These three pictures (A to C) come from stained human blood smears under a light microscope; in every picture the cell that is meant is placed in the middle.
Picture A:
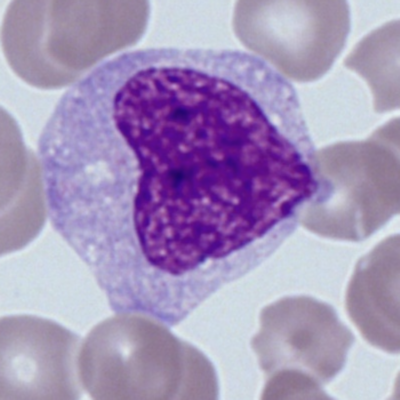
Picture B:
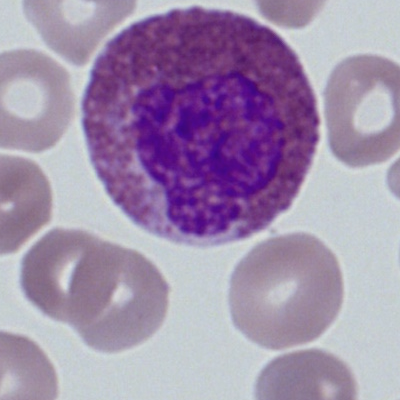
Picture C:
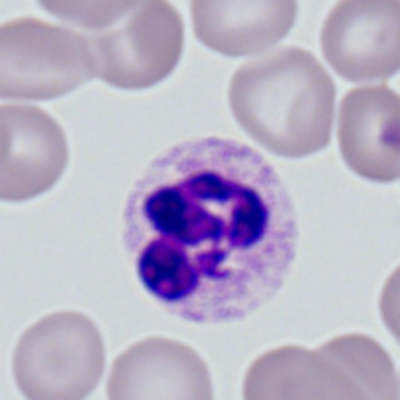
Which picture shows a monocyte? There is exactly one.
A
